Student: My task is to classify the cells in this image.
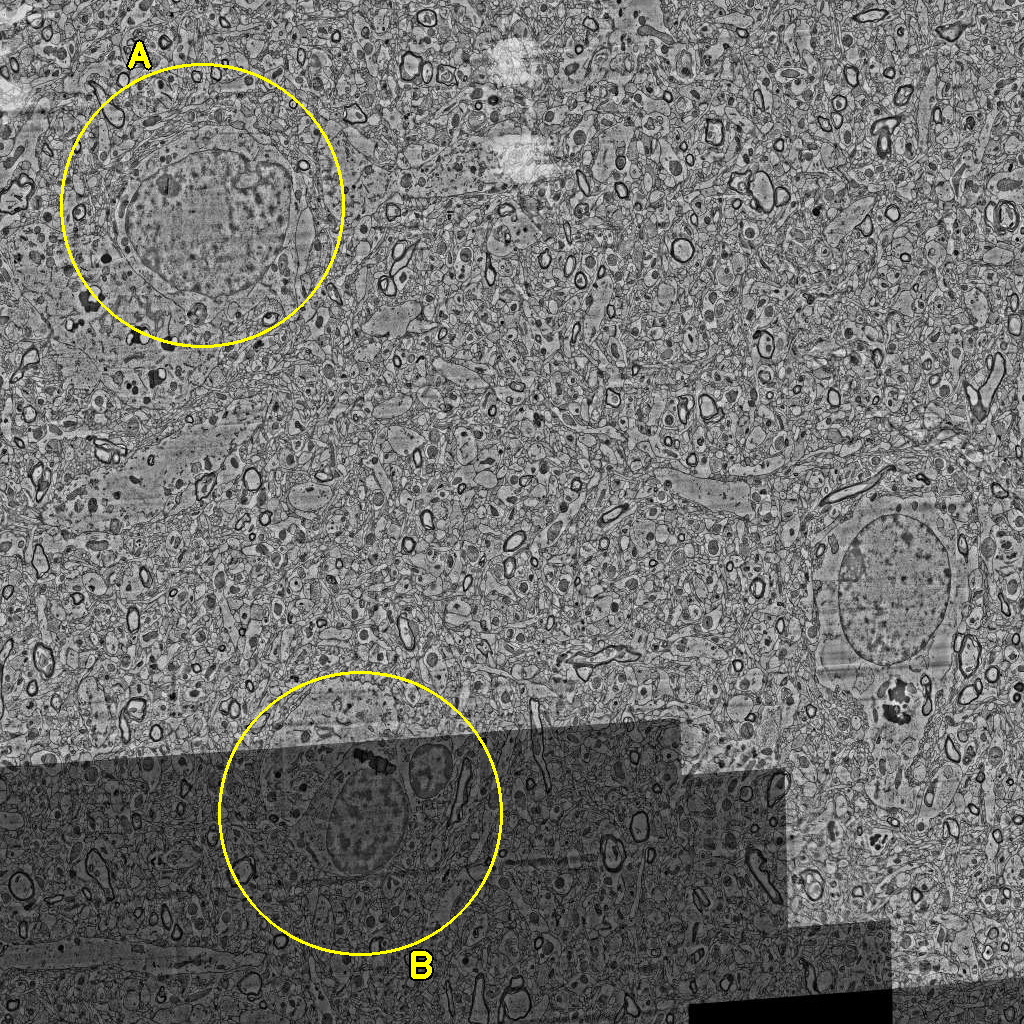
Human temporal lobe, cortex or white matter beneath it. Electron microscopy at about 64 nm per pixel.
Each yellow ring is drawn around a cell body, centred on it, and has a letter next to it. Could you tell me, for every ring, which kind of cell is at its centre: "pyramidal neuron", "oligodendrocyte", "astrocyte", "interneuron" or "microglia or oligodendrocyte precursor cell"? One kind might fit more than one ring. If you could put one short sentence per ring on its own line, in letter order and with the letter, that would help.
Ring A's central cell is an interneuron.
Ring B's central cell is an oligodendrocyte.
